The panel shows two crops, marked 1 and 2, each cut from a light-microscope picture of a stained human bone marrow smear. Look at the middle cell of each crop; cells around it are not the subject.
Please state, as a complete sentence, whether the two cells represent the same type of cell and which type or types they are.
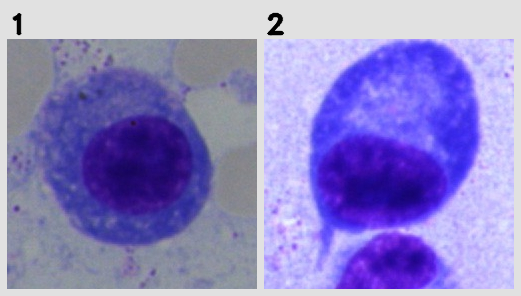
Yes, the two crops are alike in showing plasma cells.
